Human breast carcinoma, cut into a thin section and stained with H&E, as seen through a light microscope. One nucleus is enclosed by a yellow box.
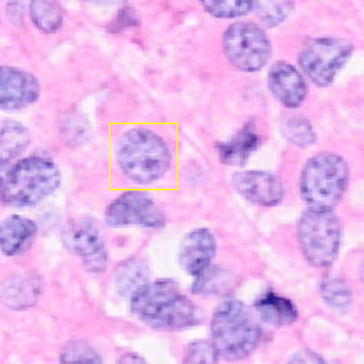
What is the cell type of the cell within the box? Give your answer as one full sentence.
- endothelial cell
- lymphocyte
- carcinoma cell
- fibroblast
The cell within the box appears to be a carcinoma cell.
